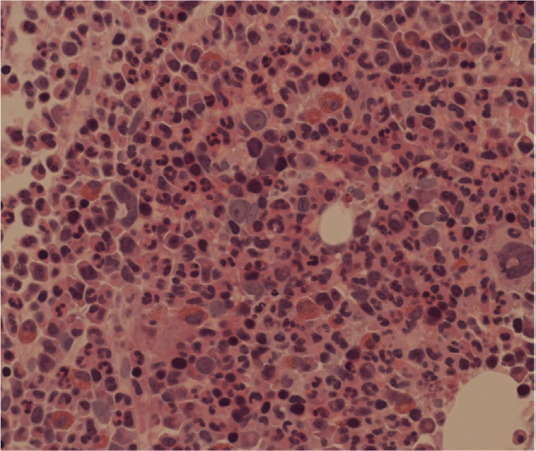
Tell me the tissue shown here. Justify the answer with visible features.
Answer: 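Bone marrow. A dense, crowded mix of many small round cells of varied sizes fills the section. Scattered very large cells with big, irregular, folded nuclei lie among them. A few round empty clear spaces interrupt the cellular sheet.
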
